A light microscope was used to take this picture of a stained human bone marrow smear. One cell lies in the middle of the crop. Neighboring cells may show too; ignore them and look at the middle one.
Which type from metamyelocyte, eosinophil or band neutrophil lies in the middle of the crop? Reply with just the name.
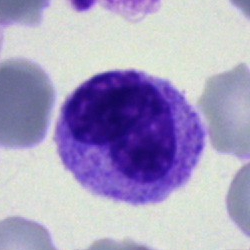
metamyelocyte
